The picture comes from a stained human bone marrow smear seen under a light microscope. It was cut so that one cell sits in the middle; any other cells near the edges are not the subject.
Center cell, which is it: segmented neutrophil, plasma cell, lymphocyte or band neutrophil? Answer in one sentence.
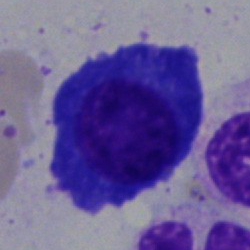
The cell nearest the centre of this crop is a plasma cell.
